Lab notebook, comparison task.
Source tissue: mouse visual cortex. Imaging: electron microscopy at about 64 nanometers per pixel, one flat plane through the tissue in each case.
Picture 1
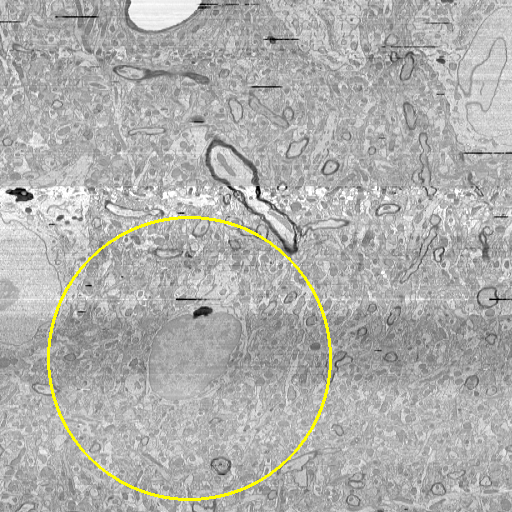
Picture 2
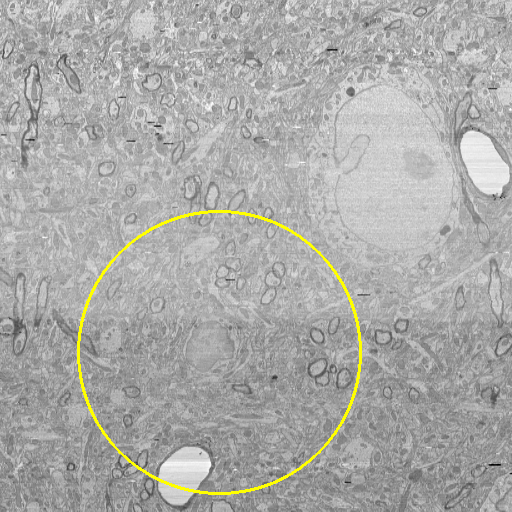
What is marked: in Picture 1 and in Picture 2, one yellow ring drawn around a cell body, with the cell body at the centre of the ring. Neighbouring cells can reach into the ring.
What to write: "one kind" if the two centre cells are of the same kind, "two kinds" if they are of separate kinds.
one kind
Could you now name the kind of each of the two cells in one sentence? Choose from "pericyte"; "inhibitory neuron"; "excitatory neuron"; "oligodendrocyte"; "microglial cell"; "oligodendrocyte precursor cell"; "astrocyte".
The cell in the first picture is a microglial cell, and so is the one in the second.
